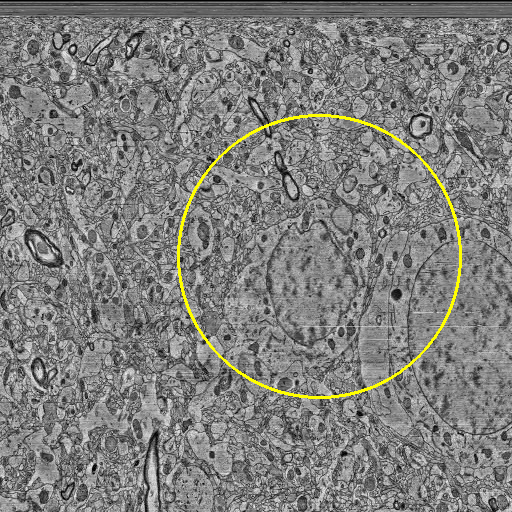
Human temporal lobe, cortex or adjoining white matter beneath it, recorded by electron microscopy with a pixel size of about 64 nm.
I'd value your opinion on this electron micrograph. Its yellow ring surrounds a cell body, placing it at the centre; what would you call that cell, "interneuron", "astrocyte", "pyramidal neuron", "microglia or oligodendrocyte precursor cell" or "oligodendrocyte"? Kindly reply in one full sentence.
It is an interneuron that sits centred within the yellow ring in this micrograph.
